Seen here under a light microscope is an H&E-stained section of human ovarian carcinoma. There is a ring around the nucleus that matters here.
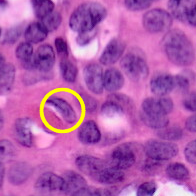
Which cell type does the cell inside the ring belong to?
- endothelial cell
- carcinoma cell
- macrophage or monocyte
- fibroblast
endothelial cell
